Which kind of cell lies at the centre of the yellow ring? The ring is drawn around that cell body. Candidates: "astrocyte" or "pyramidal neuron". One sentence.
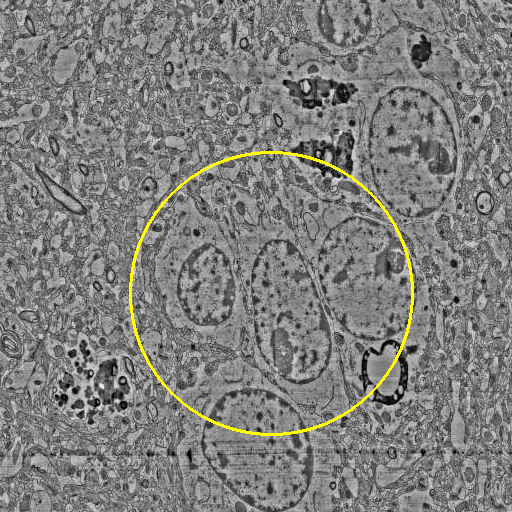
Lying at the centre of the ring is an astrocyte.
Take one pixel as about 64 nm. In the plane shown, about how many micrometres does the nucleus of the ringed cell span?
Roughly 9 micrometres by 5 micrometres, so the nucleus is clearly longer than it is wide in this plane.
